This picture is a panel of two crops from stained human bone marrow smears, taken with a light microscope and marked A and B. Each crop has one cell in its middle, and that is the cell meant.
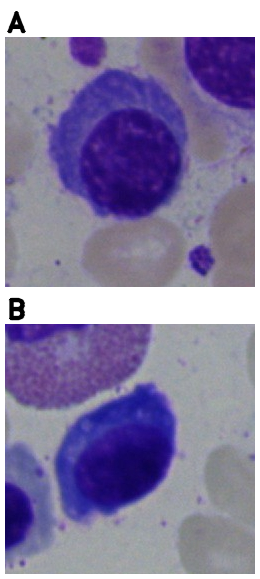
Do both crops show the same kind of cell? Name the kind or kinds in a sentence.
Yes, as shown in both crops, the central cells are plasma cells.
